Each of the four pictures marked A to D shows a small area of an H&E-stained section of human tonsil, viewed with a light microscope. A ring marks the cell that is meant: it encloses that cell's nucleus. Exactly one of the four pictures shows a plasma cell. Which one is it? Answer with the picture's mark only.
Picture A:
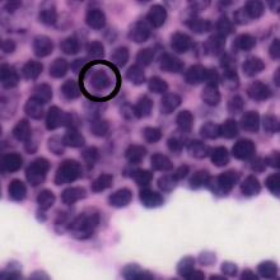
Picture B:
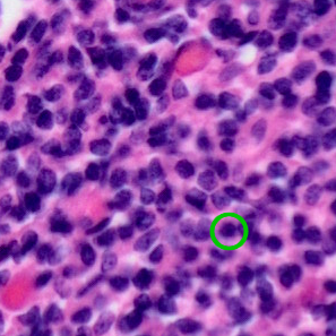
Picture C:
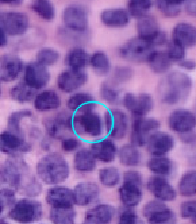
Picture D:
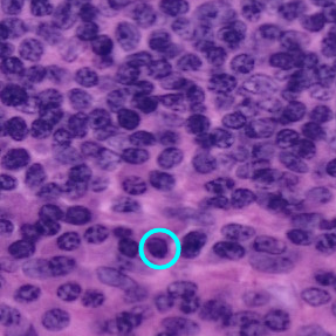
D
